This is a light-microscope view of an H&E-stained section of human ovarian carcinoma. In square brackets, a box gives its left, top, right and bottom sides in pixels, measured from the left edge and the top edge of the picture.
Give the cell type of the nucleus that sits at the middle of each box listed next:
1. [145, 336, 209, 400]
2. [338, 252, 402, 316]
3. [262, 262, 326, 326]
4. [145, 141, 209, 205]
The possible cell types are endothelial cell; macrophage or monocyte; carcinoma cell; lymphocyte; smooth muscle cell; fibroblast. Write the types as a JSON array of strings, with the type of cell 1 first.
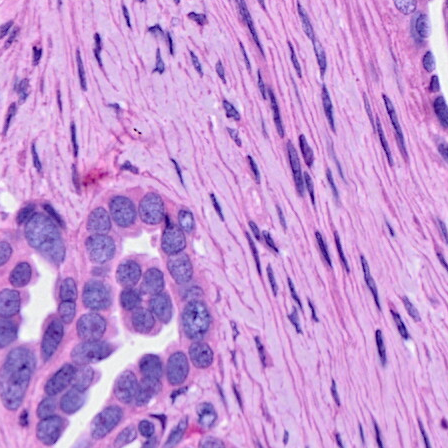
["carcinoma cell", "fibroblast", "fibroblast", "fibroblast"]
